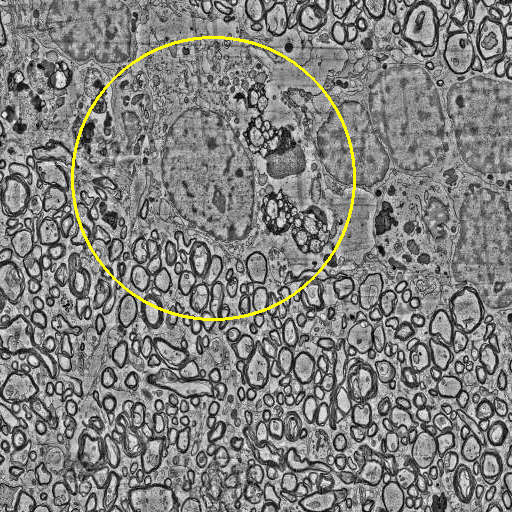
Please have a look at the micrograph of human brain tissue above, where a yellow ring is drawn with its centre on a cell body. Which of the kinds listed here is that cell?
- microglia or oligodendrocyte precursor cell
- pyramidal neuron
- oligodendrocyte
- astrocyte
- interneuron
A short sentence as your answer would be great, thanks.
At the centre of the ring sits an astrocyte.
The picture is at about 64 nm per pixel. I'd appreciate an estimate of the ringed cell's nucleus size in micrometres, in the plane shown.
Clearly longer than it is wide in this plane, the nucleus measures roughly 9 by 6 micrometres.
